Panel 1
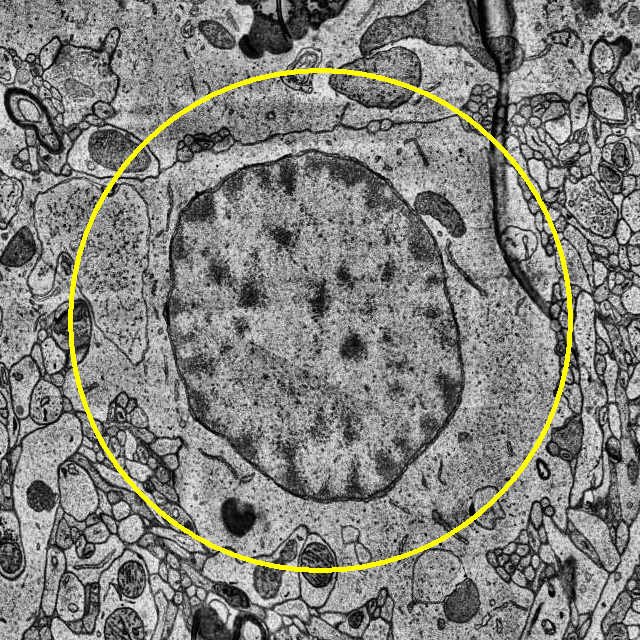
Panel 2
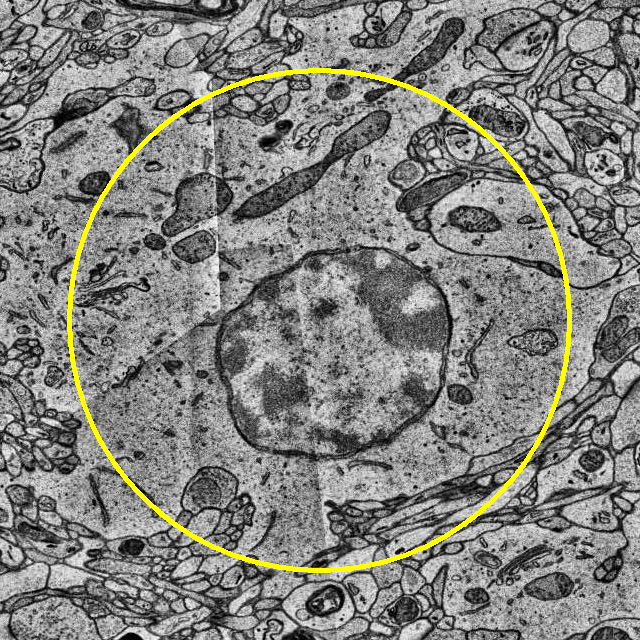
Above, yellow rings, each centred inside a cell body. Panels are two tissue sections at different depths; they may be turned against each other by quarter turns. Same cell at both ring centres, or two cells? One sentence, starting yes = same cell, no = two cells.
No, the rings do not mark the same cell.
